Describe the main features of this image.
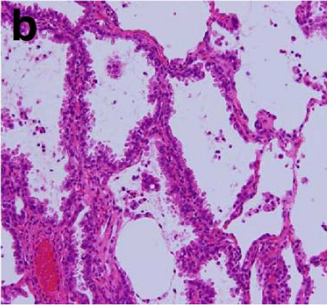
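This is lung tissue in which tumor cells creep along the alveolar walls, lining thin septa while the air spaces stay open. The lining cells are crowded, with enlarged dark purple nuclei and pink cytoplasm, replacing the flat normal lining of the alveoli.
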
